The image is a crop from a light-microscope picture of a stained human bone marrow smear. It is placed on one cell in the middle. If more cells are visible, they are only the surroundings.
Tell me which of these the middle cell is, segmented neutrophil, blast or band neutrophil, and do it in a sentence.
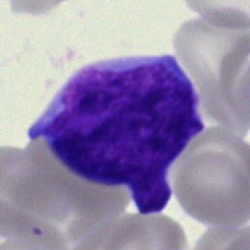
By type, the central cell of the crop is a blast.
